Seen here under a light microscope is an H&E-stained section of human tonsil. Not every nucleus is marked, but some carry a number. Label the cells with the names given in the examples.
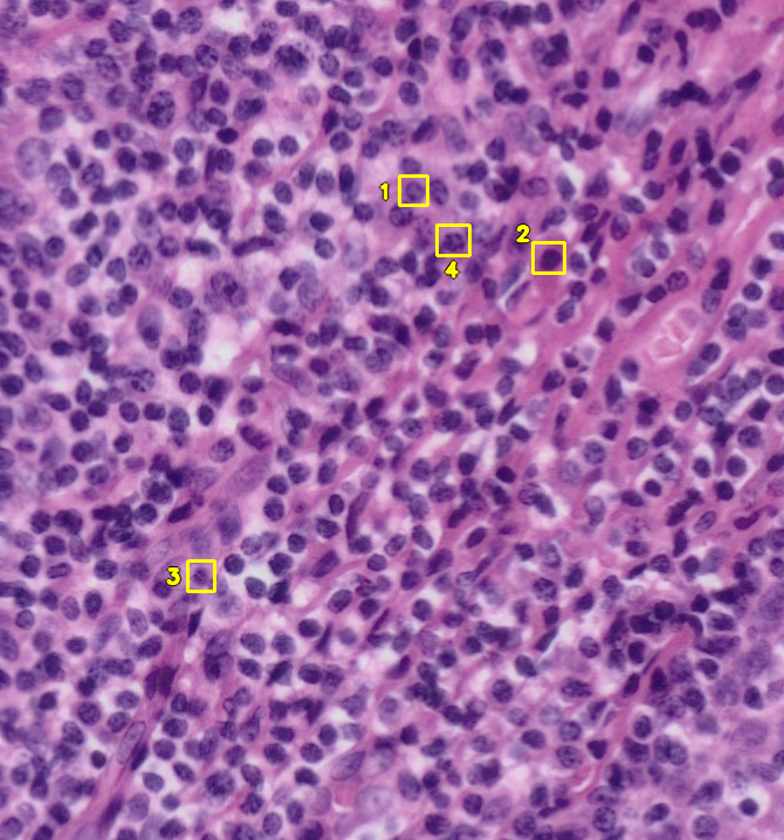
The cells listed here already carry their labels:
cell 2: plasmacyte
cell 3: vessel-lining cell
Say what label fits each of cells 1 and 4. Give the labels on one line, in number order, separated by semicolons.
plasmacyte; plasmacyte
